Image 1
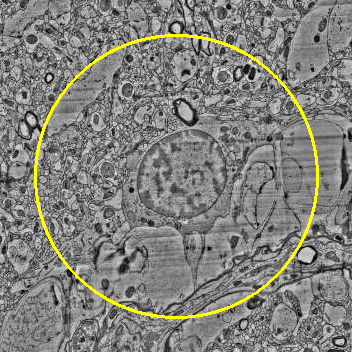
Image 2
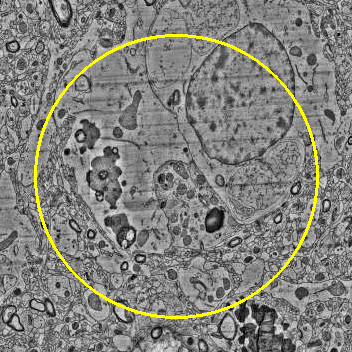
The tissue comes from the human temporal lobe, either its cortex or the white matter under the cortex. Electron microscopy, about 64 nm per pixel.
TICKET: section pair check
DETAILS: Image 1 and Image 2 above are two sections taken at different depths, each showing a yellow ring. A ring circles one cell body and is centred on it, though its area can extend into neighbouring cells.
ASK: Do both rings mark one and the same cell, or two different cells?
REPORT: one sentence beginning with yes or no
No, the two rings enclose two cells that are not the same.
